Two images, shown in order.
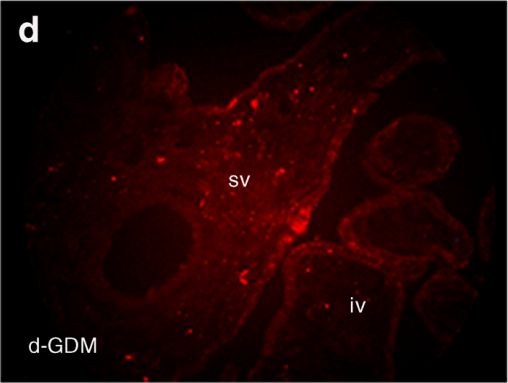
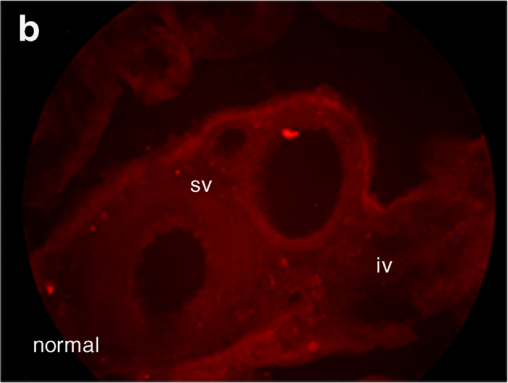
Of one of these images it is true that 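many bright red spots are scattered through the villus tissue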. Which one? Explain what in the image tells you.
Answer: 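First image: numerous small bright red dots and a larger red cluster stand out in the villus core.
The first image.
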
